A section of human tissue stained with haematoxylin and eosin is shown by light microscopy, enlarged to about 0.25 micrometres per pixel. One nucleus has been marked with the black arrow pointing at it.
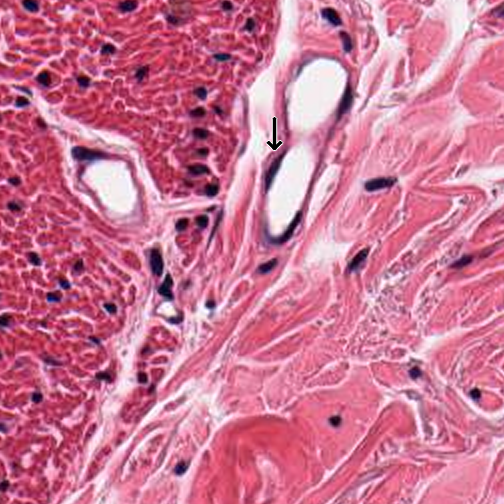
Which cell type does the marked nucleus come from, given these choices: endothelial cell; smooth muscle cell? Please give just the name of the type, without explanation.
endothelial cell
